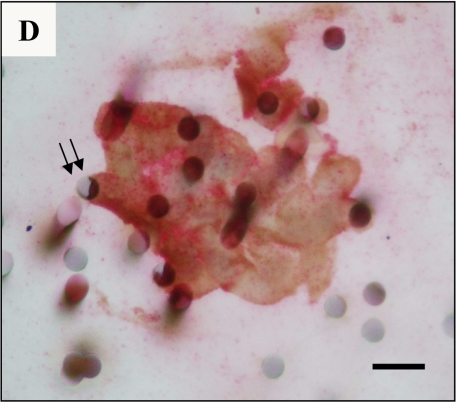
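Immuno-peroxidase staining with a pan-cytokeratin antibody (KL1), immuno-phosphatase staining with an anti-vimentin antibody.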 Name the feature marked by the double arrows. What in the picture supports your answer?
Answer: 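Pores of the filter. The double arrows point to a small pale round disc at the edge of the cluster.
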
